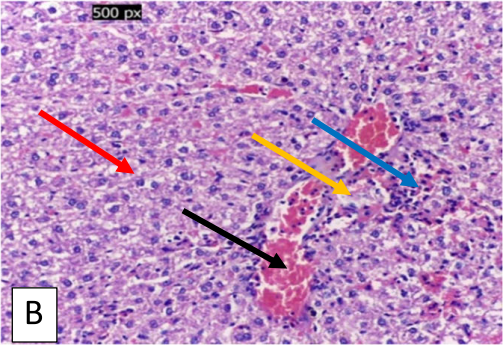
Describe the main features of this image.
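Liver tissue in which the hepatocytes look pale and disordered. Many cells have cleared, washed-out cytoplasm and indistinct borders, and the regular radiating plates are lost. A large vessel runs diagonally, its lumen packed solidly with red blood cells, and red cells also crowd the spaces between cords nearby. Beside the vessel lies a small duct-like profile, and to one side a dense group of small, dark nuclei collects among damaged cells. Overall this is degenerated liver with marked congestion of the vein and sinusoids and a focus of cell injury near the vessel.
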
